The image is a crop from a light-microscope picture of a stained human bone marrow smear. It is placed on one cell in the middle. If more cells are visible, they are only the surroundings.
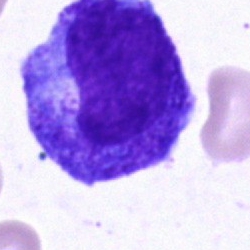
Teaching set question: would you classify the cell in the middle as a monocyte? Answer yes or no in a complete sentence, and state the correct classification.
No, the cell in the centre is a promyelocyte instead of a monocyte.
